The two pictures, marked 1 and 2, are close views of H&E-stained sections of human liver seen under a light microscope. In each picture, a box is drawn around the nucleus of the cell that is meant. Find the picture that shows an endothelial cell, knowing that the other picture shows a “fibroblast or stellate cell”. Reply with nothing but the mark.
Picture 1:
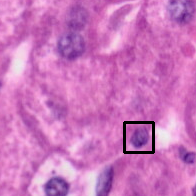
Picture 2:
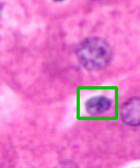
2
